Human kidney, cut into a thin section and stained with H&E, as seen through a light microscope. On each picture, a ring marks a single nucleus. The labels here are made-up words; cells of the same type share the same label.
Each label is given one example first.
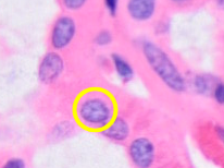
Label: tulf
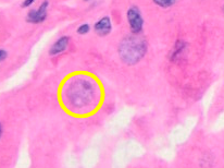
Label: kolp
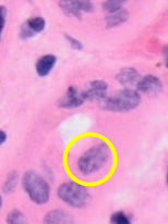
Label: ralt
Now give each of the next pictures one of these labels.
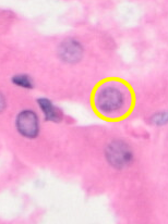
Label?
kolp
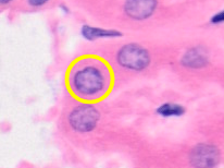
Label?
kolp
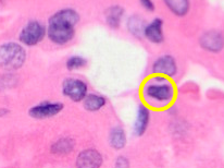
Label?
ralt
